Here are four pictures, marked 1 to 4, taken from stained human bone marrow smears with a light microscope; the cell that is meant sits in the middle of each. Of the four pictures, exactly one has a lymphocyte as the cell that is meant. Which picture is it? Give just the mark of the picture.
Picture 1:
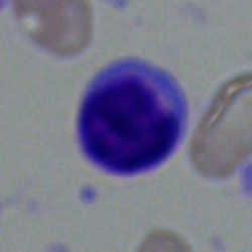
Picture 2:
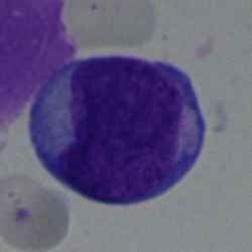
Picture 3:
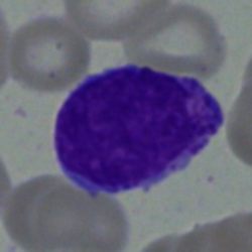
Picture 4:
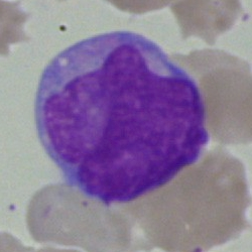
1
